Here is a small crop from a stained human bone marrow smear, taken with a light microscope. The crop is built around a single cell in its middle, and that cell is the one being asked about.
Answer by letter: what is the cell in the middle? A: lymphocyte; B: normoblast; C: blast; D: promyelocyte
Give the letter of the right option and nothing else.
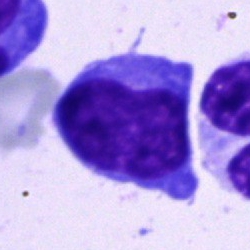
C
